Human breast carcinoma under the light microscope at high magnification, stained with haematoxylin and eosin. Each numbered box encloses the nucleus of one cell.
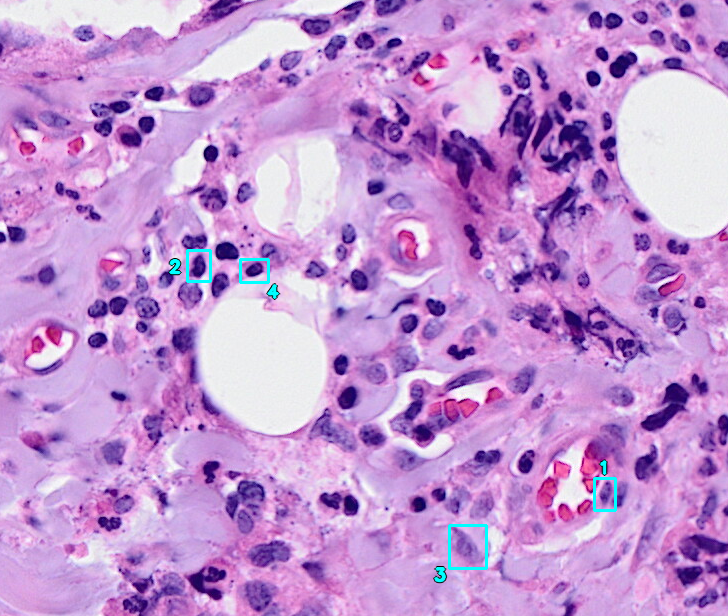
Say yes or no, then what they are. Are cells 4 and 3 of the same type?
No, cell 4 is to be identified as a lymphocyte and cell 3 as a fibroblast.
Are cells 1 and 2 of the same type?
No, rather, cell 1 is an endothelial cell and cell 2 is a lymphocyte.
